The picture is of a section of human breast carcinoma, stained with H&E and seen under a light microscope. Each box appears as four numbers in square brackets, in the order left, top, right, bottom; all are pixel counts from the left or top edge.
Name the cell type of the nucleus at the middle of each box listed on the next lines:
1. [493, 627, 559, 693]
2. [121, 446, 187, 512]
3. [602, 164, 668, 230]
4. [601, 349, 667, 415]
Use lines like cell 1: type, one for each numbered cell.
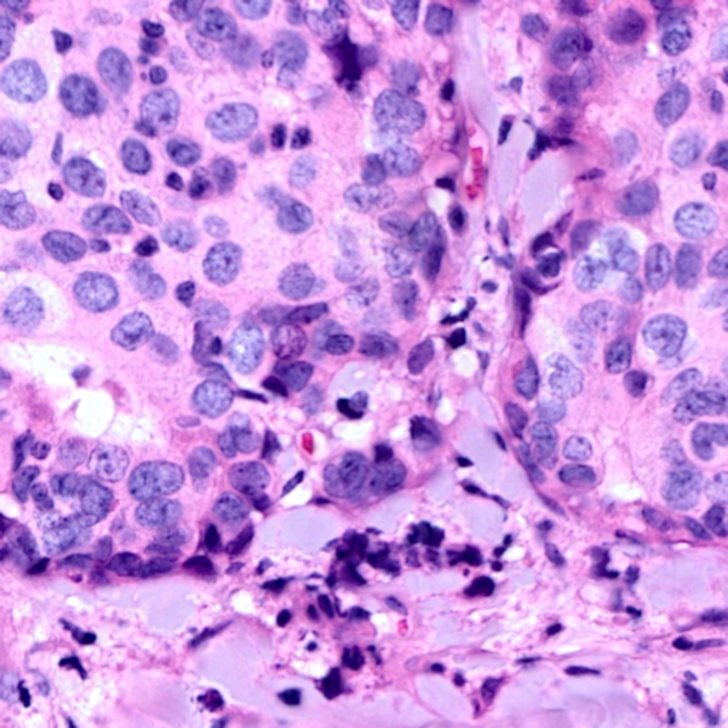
cell 1: fibroblast
cell 2: carcinoma cell
cell 3: carcinoma cell
cell 4: carcinoma cell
